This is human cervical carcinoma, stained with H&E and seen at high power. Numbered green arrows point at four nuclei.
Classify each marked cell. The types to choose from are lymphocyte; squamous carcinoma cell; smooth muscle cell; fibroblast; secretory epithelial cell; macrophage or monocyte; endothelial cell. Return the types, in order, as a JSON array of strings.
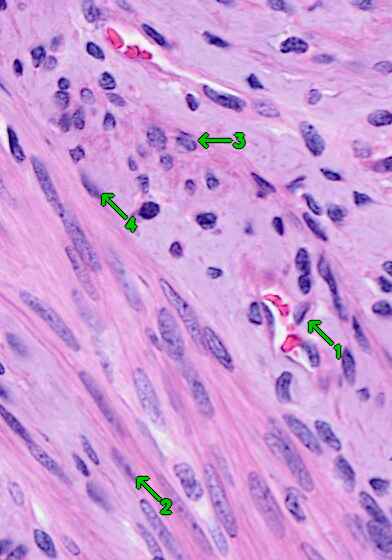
["endothelial cell", "smooth muscle cell", "smooth muscle cell", "smooth muscle cell"]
